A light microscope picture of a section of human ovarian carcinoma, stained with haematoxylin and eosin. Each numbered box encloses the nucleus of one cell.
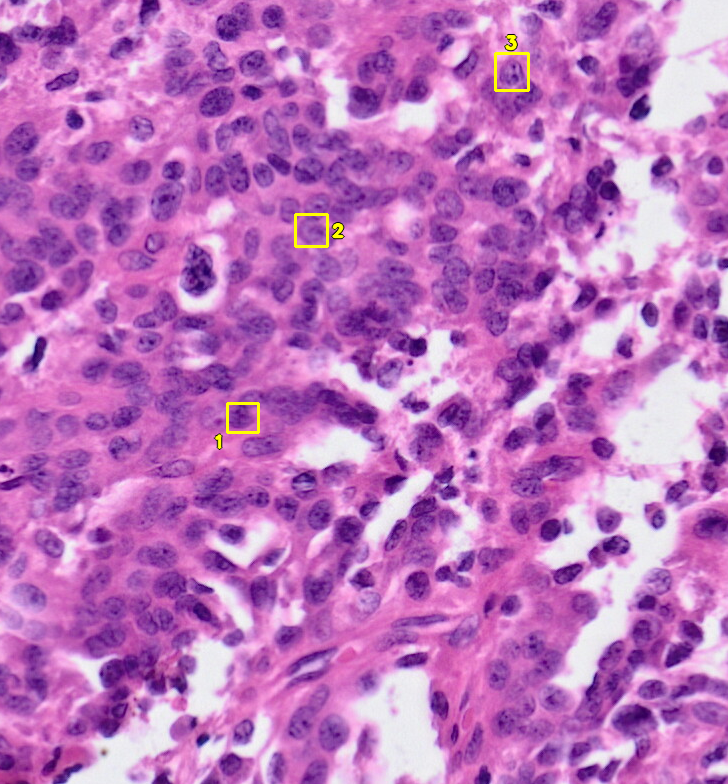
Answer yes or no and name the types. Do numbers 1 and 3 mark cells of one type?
No, cell 1 is a carcinoma cell, whereas a macrophage or monocyte is what cell 3 is.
